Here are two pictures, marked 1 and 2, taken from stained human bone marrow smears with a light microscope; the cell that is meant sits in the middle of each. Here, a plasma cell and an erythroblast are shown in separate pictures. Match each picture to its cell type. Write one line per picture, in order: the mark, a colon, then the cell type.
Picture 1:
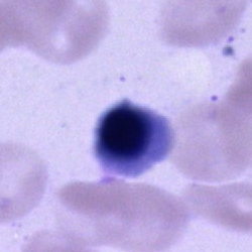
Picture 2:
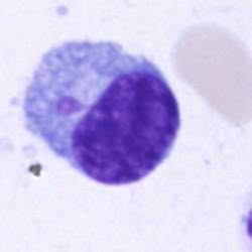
1: erythroblast
2: plasma cell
